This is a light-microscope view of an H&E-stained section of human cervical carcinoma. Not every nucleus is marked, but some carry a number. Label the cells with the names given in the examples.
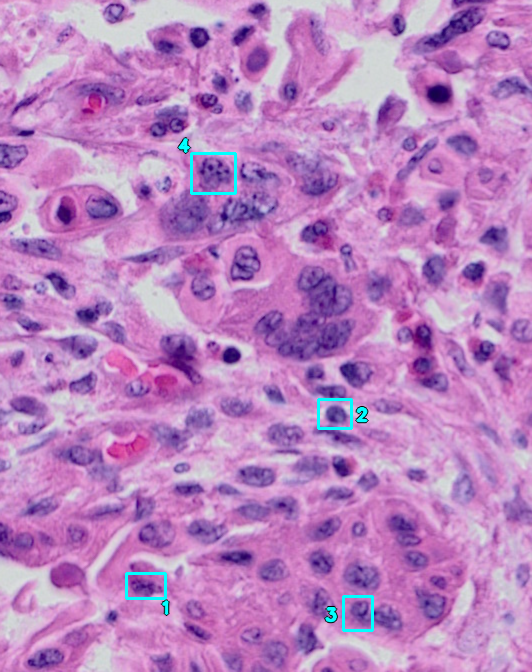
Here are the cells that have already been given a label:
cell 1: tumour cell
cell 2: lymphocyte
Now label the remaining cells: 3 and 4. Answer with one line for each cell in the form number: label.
3: tumour cell
4: tumour cell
